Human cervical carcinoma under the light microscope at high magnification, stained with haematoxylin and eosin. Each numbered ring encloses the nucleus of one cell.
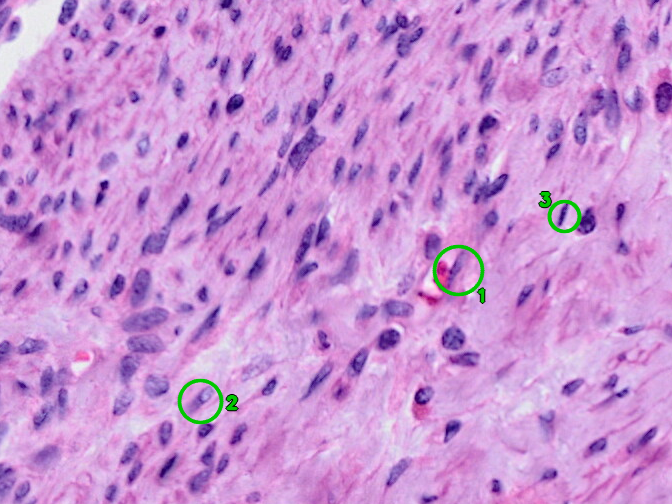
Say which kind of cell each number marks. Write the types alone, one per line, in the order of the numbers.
endothelial cell
smooth muscle cell
fibroblast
